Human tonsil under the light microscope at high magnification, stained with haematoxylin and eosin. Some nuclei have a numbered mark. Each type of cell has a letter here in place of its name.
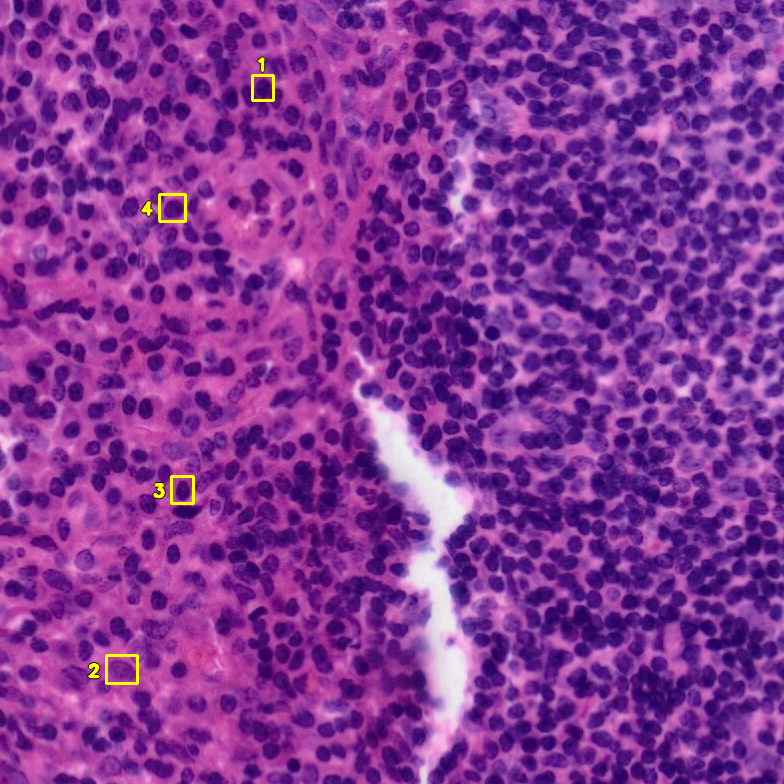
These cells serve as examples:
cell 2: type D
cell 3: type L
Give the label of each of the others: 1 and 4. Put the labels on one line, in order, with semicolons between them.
type L; type L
